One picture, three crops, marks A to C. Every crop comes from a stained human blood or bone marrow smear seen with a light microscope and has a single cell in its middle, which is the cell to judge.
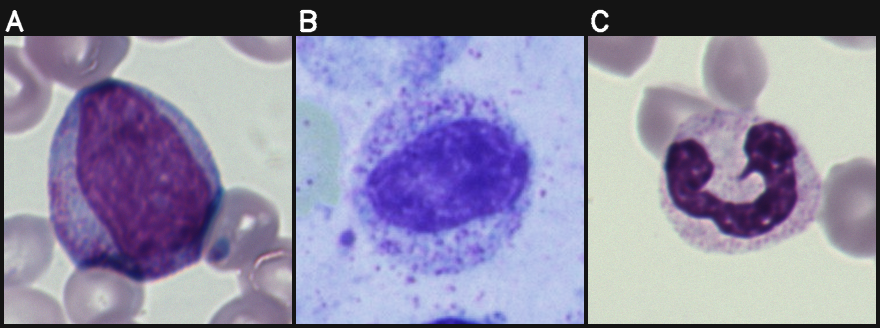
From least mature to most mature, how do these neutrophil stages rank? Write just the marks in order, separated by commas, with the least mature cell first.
A, B, C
